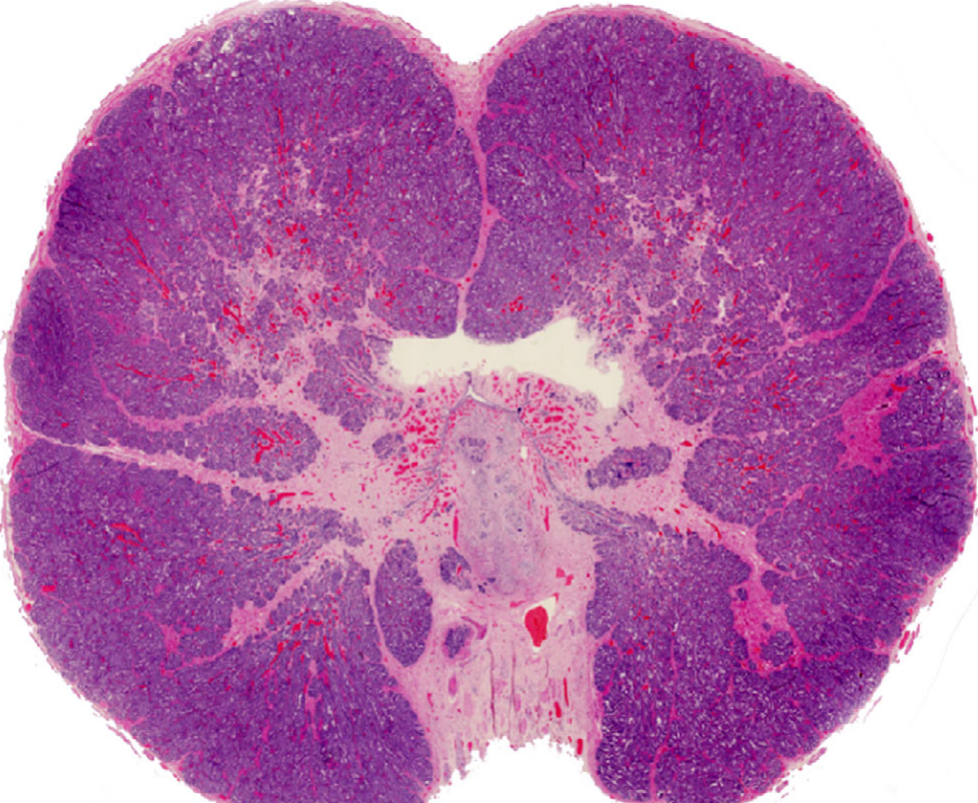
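A whole cross-section of the prostate shows two symmetrical lobes separated by a midline cleft. Each lobe consists of densely packed, purple-staining glandular tissue divided into lobules by thin pink fibrous septa that radiate outward from the centre. The centre is a pale pink stromal region with many small red blood vessels, an irregular empty lumen, and a thin pink capsule surrounding the outside.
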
